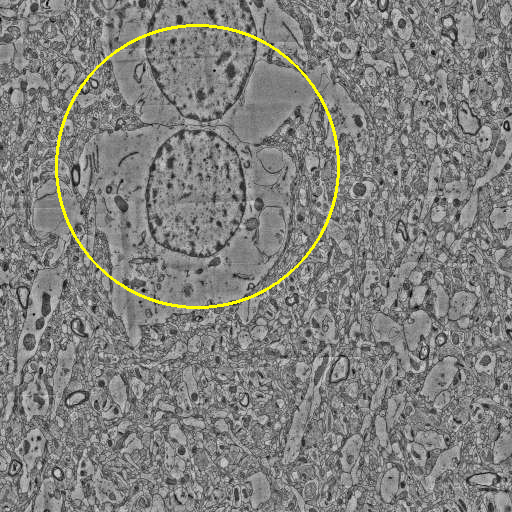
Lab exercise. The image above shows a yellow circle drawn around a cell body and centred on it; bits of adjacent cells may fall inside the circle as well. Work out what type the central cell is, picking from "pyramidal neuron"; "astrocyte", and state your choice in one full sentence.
In the image above, the cell at the centre of the yellow circle is an astrocyte.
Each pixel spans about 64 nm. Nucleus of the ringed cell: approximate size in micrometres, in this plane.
In this plane, about 9 micrometres in length and 6 in width.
